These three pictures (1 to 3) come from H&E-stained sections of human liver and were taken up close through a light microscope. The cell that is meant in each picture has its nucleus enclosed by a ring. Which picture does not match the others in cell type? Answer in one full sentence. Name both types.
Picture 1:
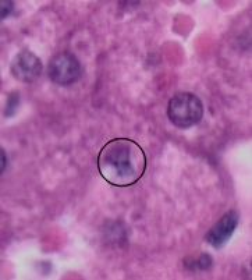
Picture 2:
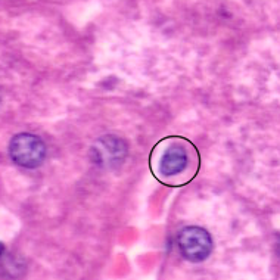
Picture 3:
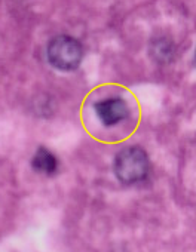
The others show endothelial cells, but picture 2 shows a Kupffer cell.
